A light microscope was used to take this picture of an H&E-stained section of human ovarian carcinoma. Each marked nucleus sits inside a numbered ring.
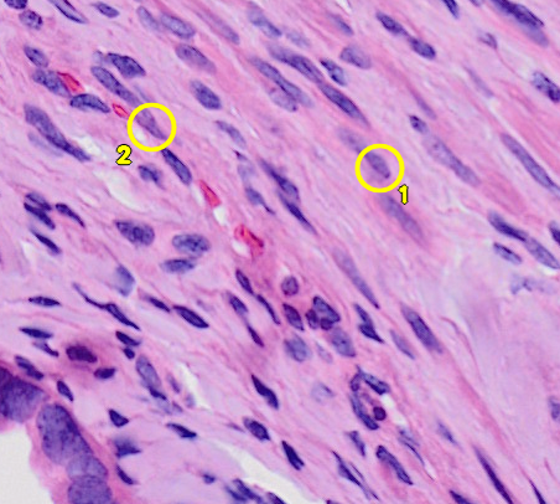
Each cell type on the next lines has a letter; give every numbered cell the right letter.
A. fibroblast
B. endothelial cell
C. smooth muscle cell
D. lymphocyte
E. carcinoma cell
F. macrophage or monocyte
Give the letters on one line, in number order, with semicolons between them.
C; B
